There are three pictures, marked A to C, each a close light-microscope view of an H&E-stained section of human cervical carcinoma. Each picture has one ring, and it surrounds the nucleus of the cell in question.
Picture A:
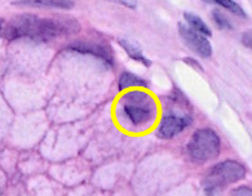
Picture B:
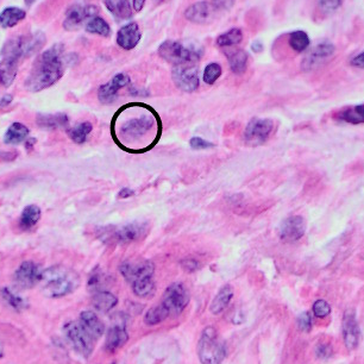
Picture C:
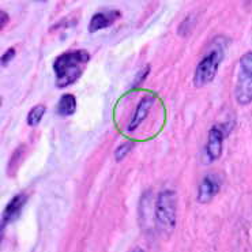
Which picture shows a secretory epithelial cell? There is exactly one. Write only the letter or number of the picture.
A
